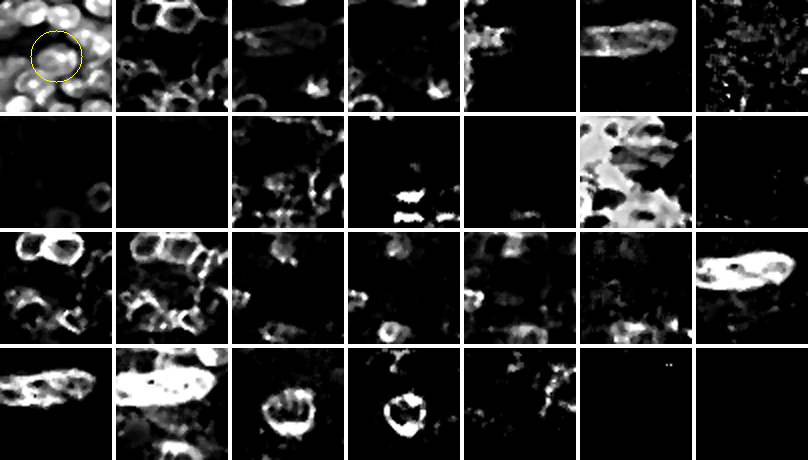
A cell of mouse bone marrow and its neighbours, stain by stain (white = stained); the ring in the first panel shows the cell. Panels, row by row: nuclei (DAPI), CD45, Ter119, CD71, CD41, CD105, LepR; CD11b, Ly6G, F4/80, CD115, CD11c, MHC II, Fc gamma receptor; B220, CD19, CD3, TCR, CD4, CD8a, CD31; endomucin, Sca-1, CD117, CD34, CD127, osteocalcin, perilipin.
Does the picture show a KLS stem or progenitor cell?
Yes.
